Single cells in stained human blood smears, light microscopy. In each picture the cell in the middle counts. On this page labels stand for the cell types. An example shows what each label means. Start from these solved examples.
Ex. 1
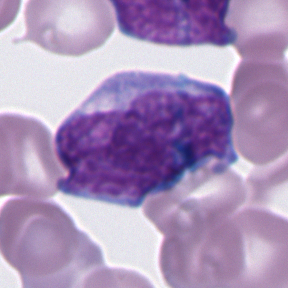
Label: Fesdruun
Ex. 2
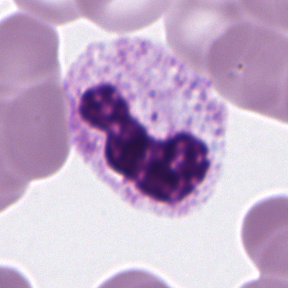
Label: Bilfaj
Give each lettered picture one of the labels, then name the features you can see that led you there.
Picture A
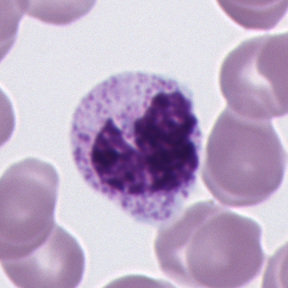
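Answer: Bilfaj. Many discrete purple granules are scattered throughout the cytoplasm.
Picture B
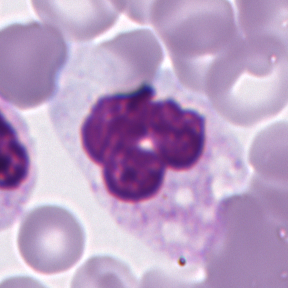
Answer: Bilfaj. The lobes meet around a small clear gap near the middle of the nucleus.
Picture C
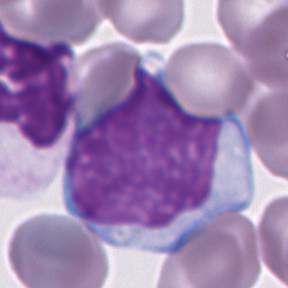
Answer: Fesdruun. The nucleus fills most of the cell.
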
